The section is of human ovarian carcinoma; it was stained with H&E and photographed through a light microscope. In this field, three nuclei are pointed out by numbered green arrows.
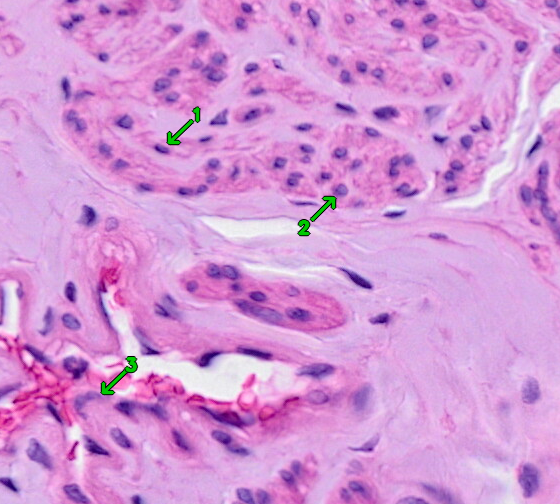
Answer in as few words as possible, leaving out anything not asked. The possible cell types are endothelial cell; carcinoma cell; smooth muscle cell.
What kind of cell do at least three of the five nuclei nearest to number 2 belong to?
smooth muscle cell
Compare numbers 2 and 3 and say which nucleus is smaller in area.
2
